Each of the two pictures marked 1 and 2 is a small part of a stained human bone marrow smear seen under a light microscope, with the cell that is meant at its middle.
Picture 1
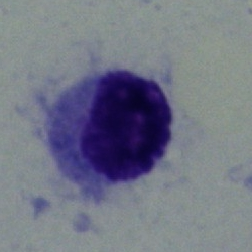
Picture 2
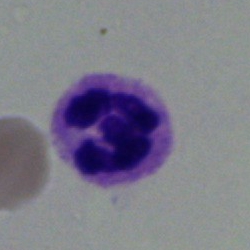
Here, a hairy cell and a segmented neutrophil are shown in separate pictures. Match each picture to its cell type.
1: hairy cell
2: segmented neutrophil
